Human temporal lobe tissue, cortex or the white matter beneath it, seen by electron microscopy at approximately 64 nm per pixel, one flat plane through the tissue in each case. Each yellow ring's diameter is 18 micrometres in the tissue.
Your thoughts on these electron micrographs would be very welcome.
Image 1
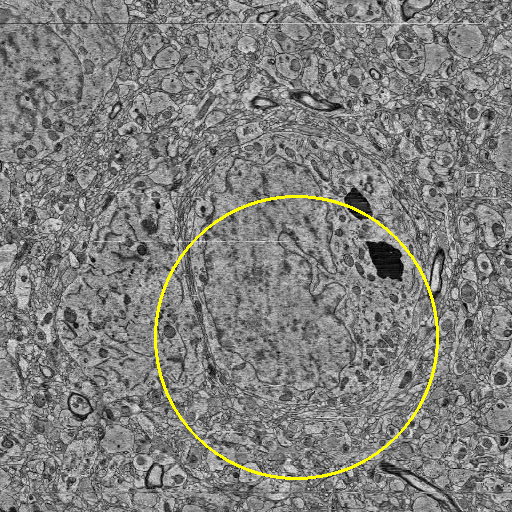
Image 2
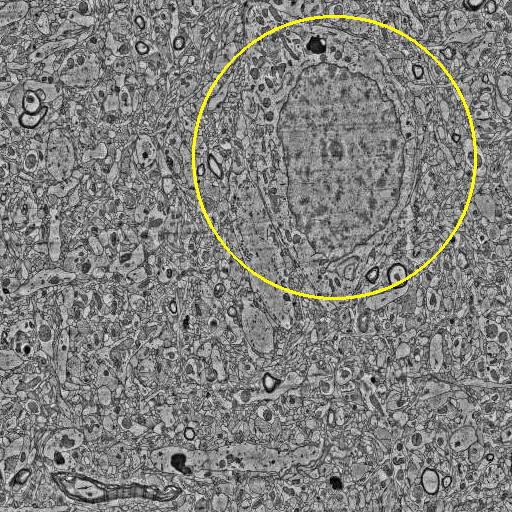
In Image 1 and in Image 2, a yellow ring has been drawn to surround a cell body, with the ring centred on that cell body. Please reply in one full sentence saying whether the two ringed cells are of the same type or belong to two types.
The ringed cells in Image 1 and Image 2 are of the same type.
